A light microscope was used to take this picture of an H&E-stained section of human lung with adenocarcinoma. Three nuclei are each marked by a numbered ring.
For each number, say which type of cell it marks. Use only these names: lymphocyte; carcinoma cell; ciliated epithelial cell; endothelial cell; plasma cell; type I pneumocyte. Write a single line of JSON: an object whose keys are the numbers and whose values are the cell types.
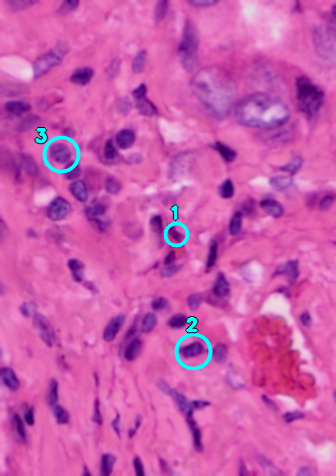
{"1": "endothelial cell", "2": "lymphocyte", "3": "lymphocyte"}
